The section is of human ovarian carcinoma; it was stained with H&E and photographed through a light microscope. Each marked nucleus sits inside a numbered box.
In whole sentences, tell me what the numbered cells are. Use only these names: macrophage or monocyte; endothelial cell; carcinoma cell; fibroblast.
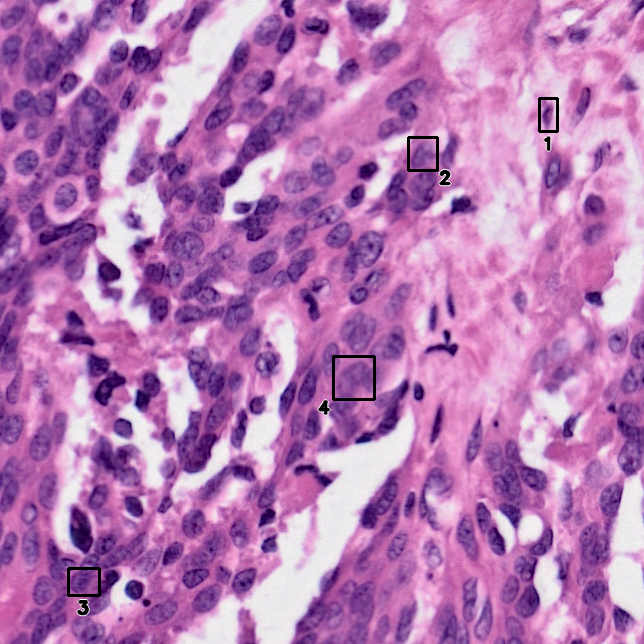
Cell 1 is a fibroblast. Cells 2, 3 and 4 are carcinoma cells.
